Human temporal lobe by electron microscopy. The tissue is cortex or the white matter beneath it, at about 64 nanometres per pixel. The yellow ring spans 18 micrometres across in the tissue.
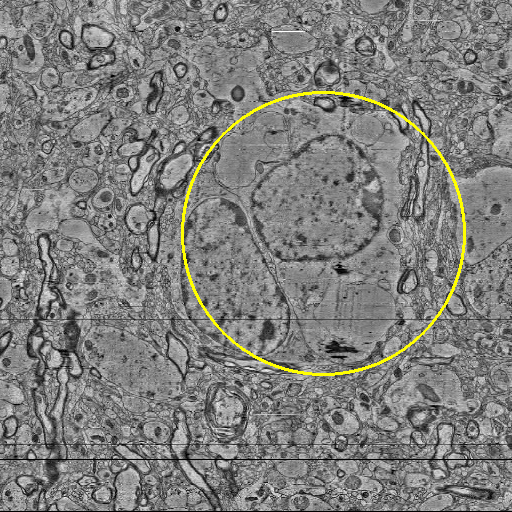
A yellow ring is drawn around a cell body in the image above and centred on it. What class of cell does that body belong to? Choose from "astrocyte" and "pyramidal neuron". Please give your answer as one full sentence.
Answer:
The yellow ring above is centred on the cell body of an astrocyte.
